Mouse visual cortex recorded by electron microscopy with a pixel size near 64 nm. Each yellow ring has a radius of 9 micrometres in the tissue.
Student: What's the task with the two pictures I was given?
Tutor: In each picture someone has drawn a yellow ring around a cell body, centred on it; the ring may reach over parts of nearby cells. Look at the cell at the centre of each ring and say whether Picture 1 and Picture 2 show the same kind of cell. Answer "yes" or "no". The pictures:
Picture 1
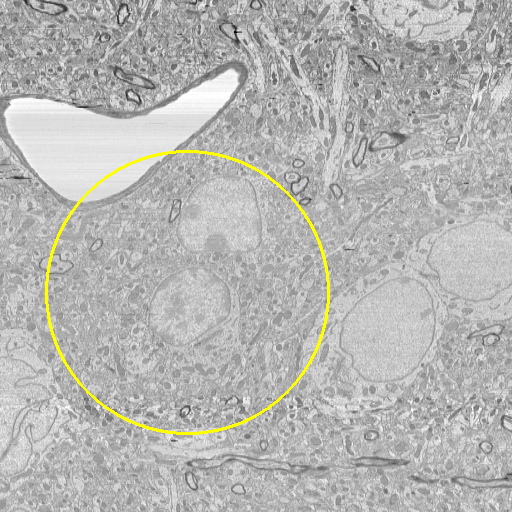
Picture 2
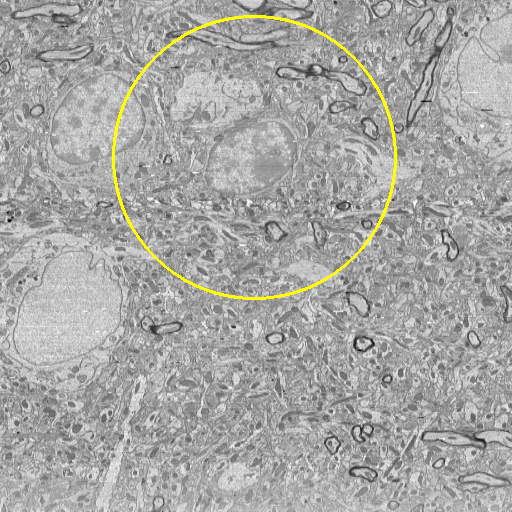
yes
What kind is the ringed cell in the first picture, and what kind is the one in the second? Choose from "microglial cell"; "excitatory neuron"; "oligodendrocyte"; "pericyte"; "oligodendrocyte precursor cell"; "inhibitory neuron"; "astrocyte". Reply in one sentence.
The first and the second cell are each an oligodendrocyte.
